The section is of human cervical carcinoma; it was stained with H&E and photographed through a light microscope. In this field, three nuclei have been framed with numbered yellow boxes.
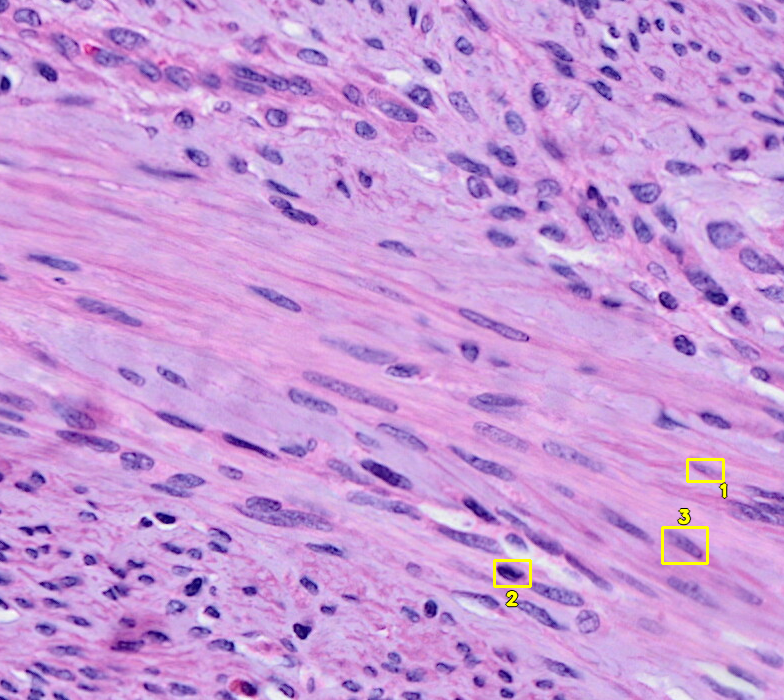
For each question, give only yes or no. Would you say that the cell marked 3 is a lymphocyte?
no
